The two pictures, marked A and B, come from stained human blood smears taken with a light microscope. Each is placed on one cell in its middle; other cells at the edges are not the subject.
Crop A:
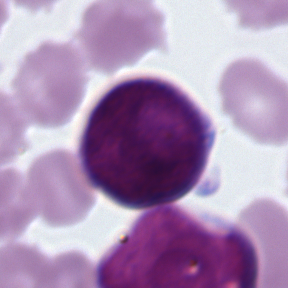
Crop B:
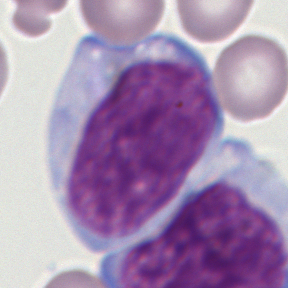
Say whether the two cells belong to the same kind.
yes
